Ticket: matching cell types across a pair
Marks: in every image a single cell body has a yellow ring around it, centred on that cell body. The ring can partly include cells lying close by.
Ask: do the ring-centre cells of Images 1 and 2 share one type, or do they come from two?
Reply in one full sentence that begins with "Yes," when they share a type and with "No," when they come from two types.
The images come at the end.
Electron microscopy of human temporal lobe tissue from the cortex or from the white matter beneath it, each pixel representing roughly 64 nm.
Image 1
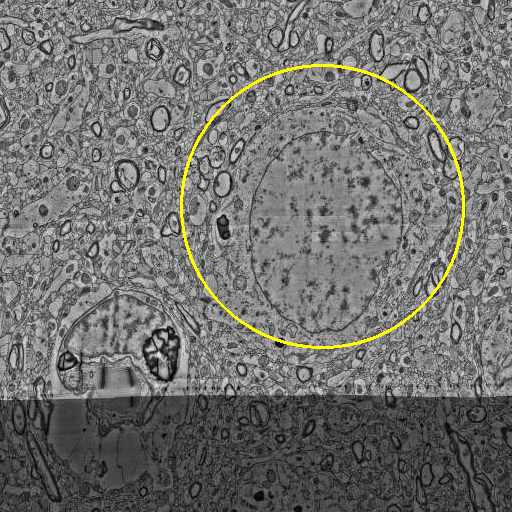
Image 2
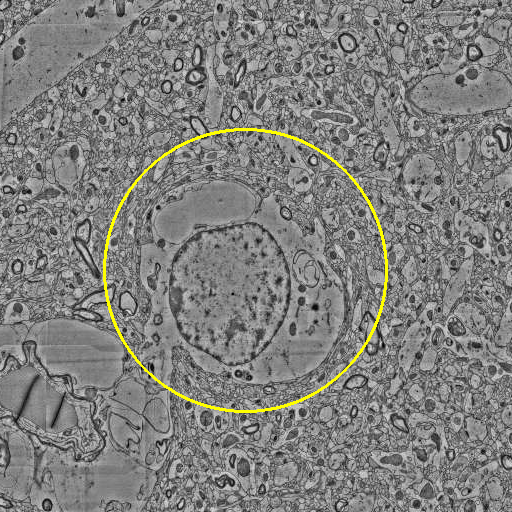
No, the cells in the centres of the rings in Image 1 and Image 2 come from two types.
